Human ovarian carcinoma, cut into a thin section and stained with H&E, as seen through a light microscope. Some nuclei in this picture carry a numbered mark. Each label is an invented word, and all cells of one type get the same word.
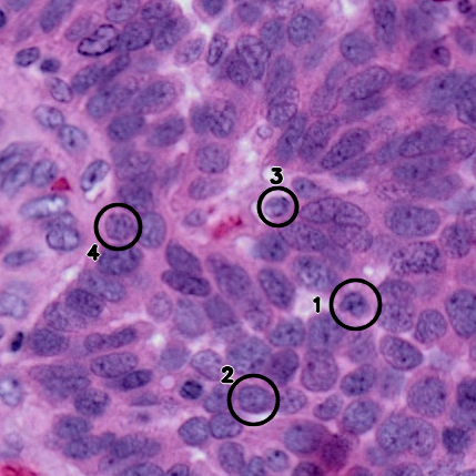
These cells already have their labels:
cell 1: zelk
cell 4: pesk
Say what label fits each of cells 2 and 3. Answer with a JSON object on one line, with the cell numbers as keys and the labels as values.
{"2": "pesk", "3": "zelk"}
